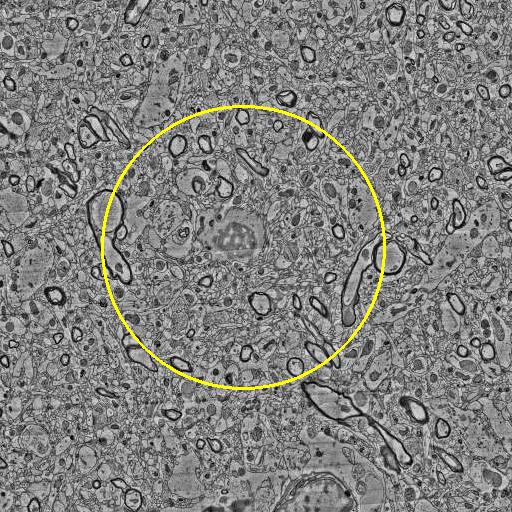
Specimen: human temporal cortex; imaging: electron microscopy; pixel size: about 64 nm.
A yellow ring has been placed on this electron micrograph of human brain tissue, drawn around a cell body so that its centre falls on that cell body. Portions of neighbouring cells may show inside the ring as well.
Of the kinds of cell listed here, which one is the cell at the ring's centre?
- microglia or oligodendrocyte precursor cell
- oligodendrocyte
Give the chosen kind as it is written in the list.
oligodendrocyte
